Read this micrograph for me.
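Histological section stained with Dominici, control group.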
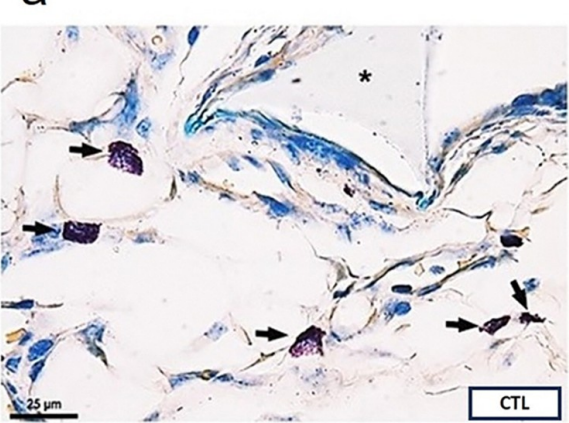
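Scattered mast cells stand out as oval to irregular cells packed with dark purple-violet granules, lying singly in thin strands of tissue between large clear spaces. Around them are many small, blue, elongated nuclei of other cells along the thin septa, and a band of blue-stained cells lines a larger pale space in the upper part.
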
